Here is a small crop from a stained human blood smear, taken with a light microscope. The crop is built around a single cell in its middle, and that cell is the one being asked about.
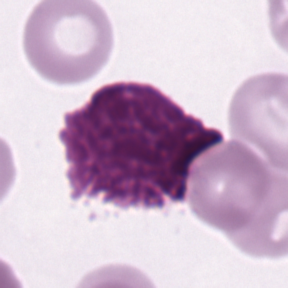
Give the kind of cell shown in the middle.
smudge cell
